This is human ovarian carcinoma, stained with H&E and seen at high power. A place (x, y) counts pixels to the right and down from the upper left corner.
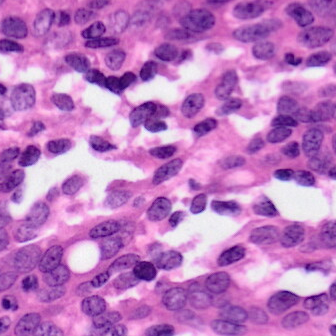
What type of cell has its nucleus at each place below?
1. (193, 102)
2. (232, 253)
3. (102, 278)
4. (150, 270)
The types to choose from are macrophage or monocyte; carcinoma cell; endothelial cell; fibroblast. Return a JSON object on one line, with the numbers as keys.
{"1": "macrophage or monocyte", "2": "macrophage or monocyte", "3": "carcinoma cell", "4": "carcinoma cell"}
